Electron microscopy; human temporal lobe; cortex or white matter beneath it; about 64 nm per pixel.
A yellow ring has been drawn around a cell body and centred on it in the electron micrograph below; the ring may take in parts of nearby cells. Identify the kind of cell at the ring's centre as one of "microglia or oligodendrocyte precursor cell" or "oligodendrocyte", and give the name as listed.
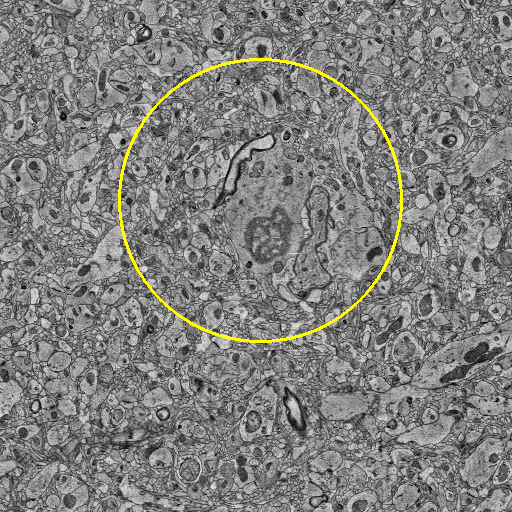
oligodendrocyte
